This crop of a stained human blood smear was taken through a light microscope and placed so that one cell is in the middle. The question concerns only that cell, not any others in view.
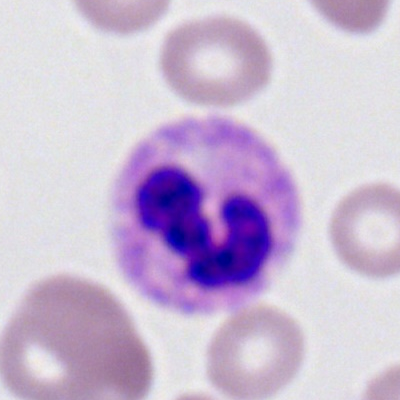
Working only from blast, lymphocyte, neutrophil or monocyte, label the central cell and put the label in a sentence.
The central element of this crop is a cell, namely a neutrophil.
